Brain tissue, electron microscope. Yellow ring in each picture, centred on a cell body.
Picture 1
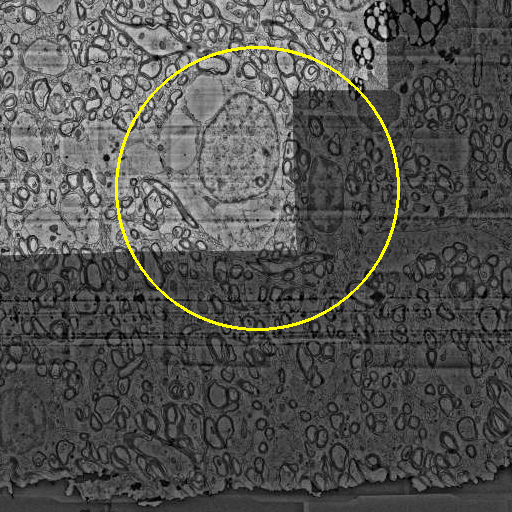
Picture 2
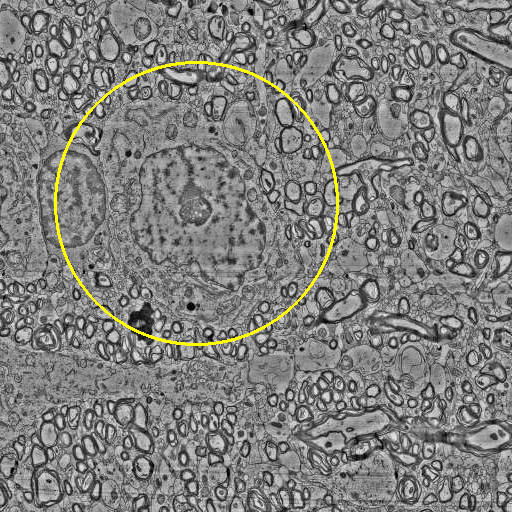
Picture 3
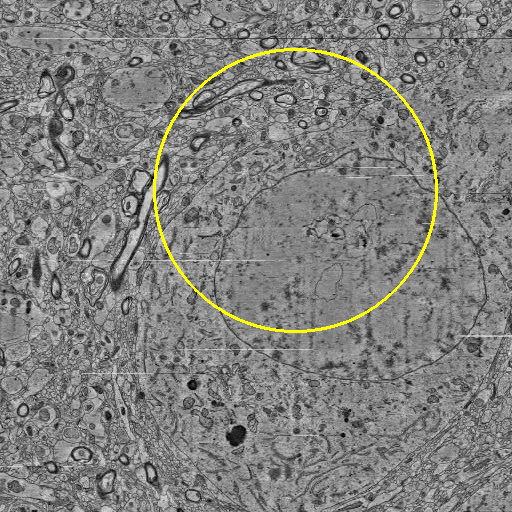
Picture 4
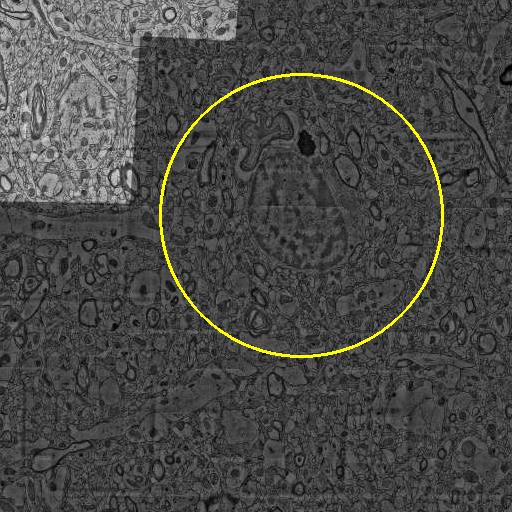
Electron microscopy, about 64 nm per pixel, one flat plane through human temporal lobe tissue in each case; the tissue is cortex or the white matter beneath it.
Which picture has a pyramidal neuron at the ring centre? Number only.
3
